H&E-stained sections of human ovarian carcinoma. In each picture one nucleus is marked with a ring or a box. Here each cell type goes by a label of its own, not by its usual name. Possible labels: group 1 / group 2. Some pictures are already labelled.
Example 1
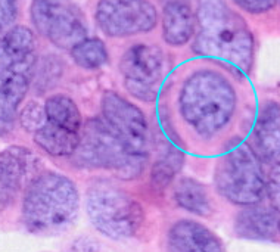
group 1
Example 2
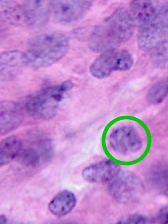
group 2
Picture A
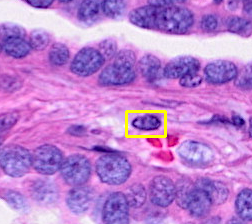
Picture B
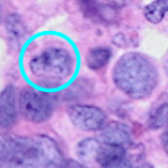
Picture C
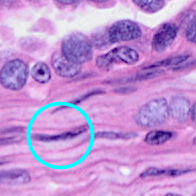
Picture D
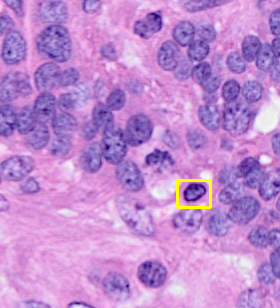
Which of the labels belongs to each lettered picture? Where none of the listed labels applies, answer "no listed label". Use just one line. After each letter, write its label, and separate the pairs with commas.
A group 2, B group 2, C no listed label, D group 2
